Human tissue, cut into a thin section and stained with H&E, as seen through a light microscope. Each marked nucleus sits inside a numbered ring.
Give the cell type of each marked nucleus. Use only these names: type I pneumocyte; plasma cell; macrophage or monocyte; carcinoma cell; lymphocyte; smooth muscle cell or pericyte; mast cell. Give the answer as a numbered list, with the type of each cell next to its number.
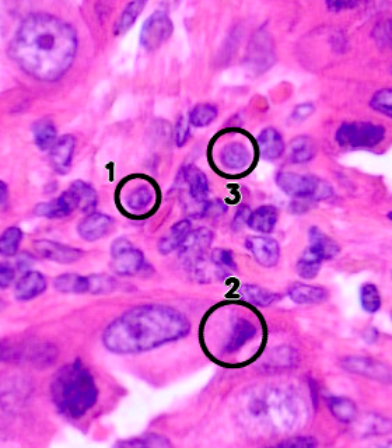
1. lymphocyte
2. carcinoma cell
3. lymphocyte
